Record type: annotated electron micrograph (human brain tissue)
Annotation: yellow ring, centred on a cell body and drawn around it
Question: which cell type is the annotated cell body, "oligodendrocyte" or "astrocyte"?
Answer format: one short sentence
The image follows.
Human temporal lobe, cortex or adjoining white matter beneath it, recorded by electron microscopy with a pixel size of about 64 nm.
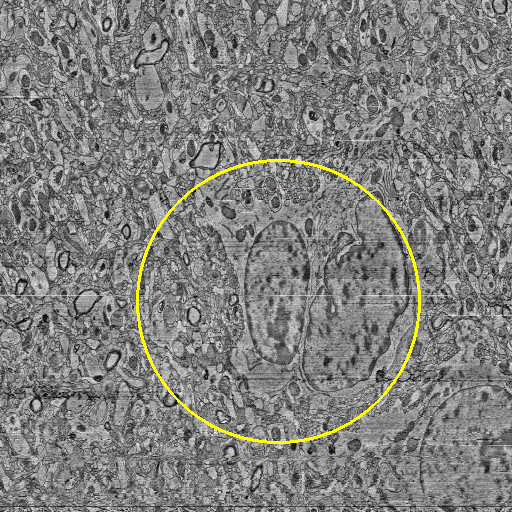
The annotated cell body is that of an astrocyte.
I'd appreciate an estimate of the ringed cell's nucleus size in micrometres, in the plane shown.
Approximately 9 micrometres long and 4 micrometres wide, so clearly longer than it is wide in this plane.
